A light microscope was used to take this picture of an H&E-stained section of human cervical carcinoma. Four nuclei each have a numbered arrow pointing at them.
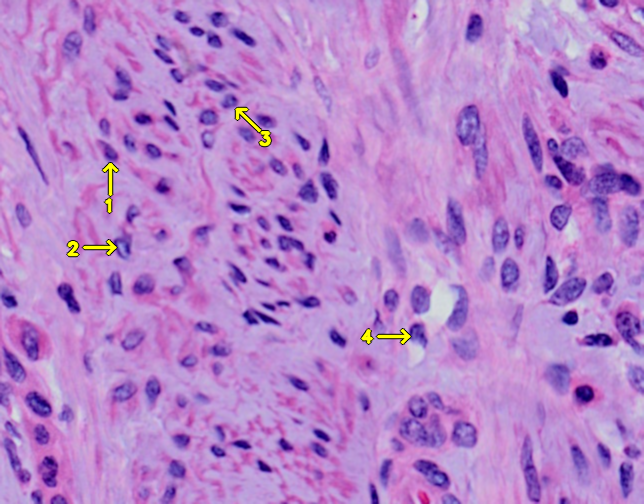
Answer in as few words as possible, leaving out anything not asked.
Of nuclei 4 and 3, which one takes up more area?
4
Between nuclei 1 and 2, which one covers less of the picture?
1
